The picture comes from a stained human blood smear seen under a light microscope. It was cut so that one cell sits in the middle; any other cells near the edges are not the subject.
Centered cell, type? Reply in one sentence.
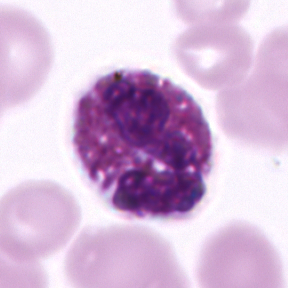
The centrally located cell in the crop is an eosinophil.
